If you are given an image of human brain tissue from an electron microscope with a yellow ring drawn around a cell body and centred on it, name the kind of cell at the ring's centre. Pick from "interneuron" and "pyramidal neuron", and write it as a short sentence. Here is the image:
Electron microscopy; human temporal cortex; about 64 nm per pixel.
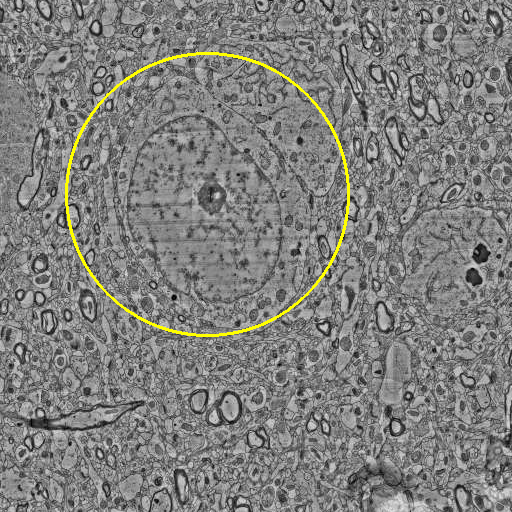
The cell at the ring's centre is an interneuron.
